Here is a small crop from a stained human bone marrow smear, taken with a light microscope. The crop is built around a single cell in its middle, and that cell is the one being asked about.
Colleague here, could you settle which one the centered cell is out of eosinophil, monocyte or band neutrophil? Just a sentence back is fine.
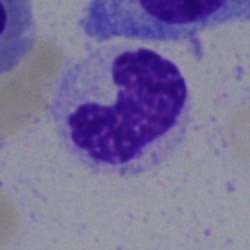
This crop has a band neutrophil at its centre.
